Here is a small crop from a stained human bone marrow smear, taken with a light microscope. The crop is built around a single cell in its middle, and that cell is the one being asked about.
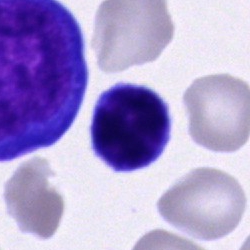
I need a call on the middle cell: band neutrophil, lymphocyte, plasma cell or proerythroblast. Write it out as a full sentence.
The identification for the central cell is a lymphocyte.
